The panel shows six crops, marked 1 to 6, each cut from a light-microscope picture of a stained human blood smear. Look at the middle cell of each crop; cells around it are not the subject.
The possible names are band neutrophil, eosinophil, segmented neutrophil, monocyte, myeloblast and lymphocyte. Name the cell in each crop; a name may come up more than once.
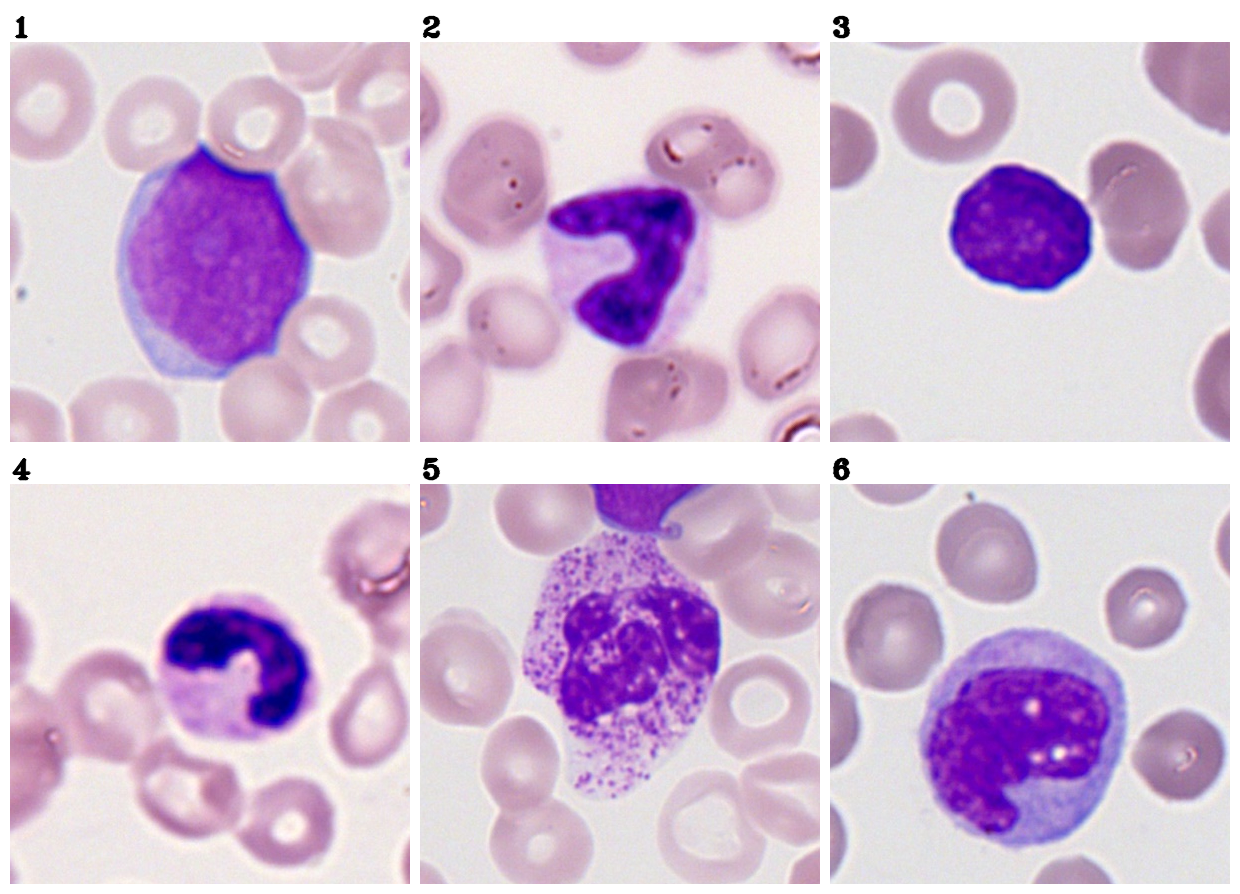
1: myeloblast
2: band neutrophil
3: lymphocyte
4: band neutrophil
5: segmented neutrophil
6: monocyte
